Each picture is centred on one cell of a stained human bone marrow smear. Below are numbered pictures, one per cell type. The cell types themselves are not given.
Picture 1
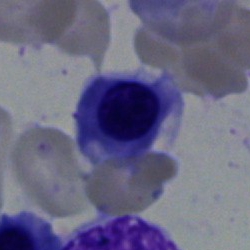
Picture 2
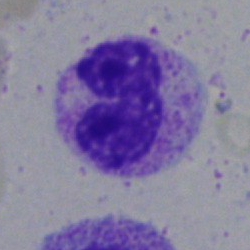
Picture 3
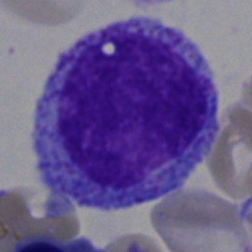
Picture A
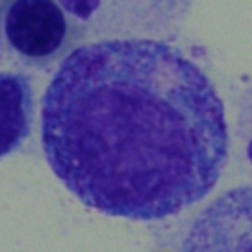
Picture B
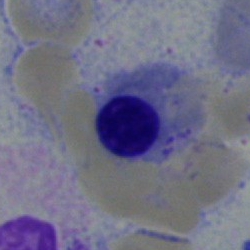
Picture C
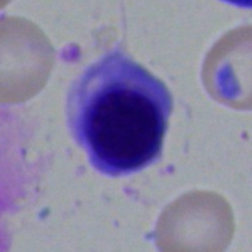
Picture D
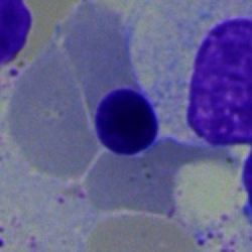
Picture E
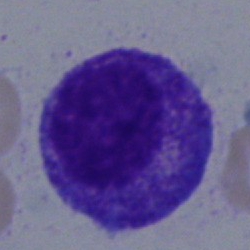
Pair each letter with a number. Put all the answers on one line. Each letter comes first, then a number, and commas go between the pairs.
A 3, B 1, C 1, D 1, E 3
